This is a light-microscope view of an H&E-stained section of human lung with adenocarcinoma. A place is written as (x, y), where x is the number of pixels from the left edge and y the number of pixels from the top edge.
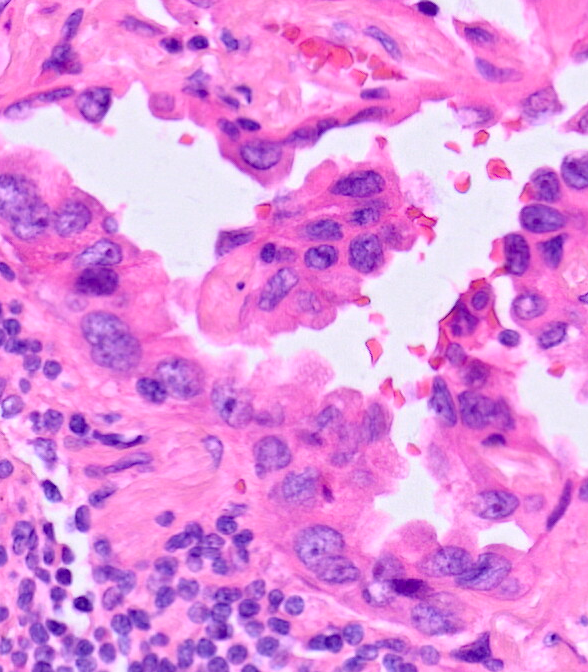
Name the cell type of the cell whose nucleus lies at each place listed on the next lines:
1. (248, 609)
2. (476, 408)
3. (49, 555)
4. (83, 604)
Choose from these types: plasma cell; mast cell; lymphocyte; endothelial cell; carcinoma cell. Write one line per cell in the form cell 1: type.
cell 1: lymphocyte
cell 2: carcinoma cell
cell 3: lymphocyte
cell 4: lymphocyte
